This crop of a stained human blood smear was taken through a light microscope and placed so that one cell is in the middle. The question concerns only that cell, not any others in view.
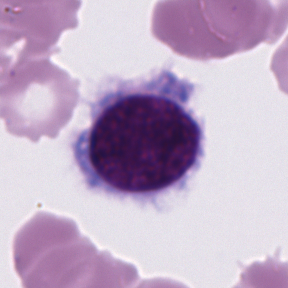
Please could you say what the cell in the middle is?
hairy cell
